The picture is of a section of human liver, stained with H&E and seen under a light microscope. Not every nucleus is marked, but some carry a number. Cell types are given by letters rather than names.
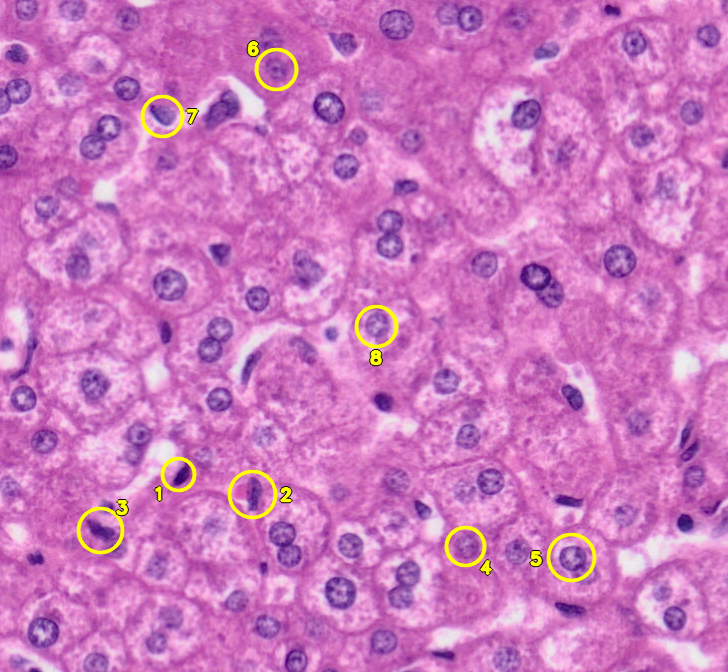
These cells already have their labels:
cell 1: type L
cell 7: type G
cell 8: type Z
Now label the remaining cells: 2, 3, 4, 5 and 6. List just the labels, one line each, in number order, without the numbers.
type G
type L
type Z
type Z
type Z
